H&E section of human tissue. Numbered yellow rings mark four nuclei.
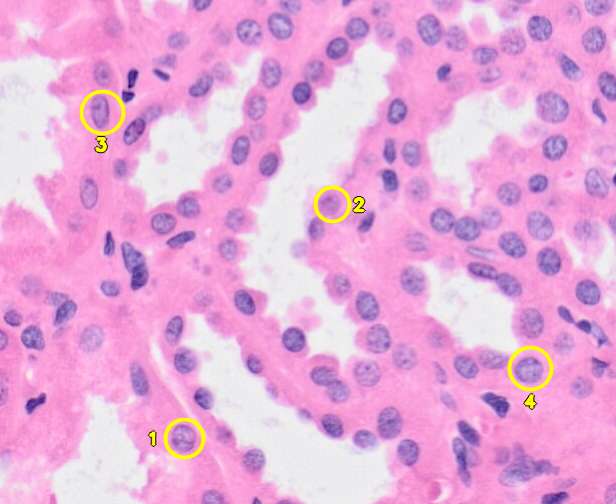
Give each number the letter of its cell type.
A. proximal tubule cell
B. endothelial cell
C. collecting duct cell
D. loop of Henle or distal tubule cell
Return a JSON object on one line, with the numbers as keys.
{"1": "A", "2": "D", "3": "A", "4": "D"}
